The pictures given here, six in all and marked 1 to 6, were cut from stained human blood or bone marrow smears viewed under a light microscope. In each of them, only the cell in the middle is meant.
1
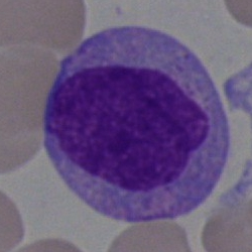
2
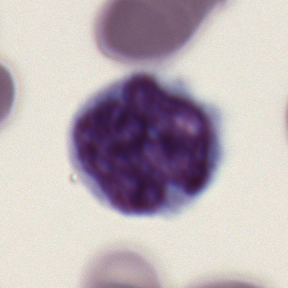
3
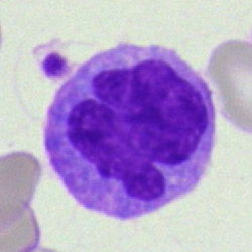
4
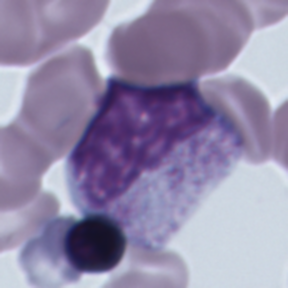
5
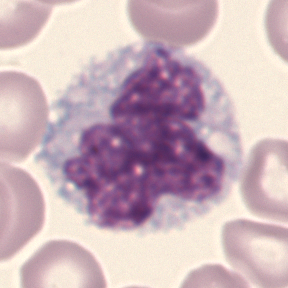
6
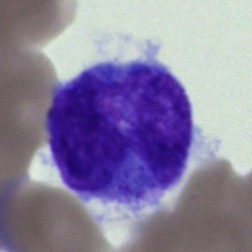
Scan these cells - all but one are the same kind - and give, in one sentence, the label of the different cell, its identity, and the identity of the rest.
Crop 4 presents a promyelocyte, while monocytes are presented by all other crops.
